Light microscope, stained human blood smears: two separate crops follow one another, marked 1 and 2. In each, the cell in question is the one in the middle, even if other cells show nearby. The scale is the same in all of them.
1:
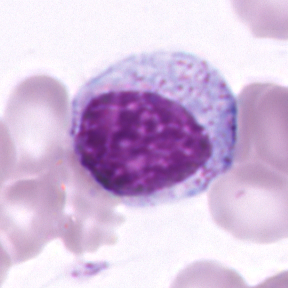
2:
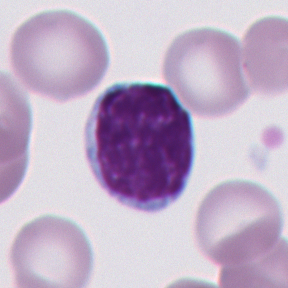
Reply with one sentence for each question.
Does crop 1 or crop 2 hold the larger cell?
It is the cell in crop 1, about 2 times as large in area as the cell in crop 2.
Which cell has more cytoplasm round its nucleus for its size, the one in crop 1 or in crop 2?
In crop 1 the nucleus takes up the smaller part of its cell.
